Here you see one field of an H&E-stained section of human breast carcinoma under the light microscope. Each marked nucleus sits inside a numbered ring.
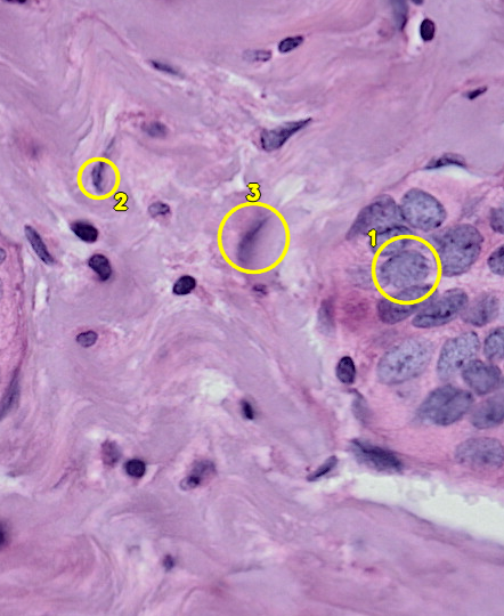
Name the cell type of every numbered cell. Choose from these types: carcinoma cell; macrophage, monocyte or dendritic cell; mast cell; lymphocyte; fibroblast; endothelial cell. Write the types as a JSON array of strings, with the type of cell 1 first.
["carcinoma cell", "fibroblast", "fibroblast"]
